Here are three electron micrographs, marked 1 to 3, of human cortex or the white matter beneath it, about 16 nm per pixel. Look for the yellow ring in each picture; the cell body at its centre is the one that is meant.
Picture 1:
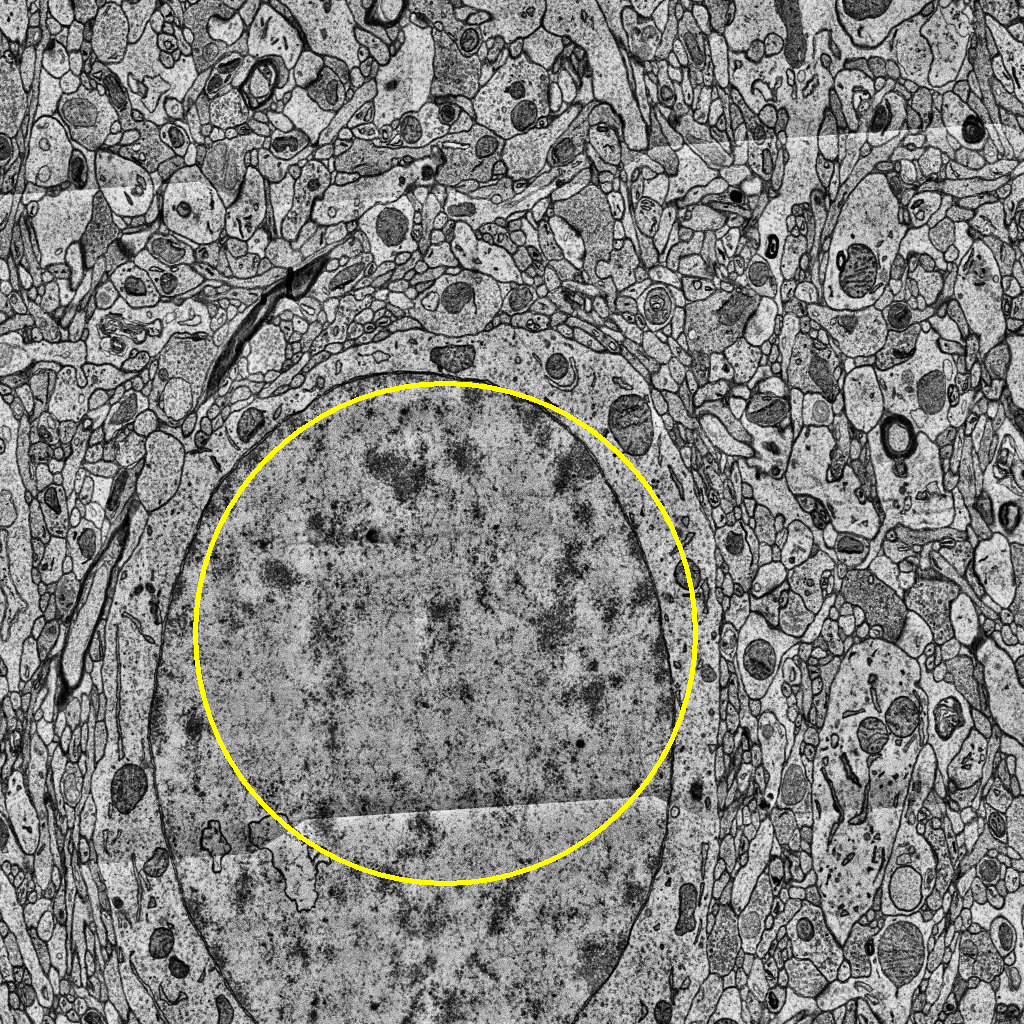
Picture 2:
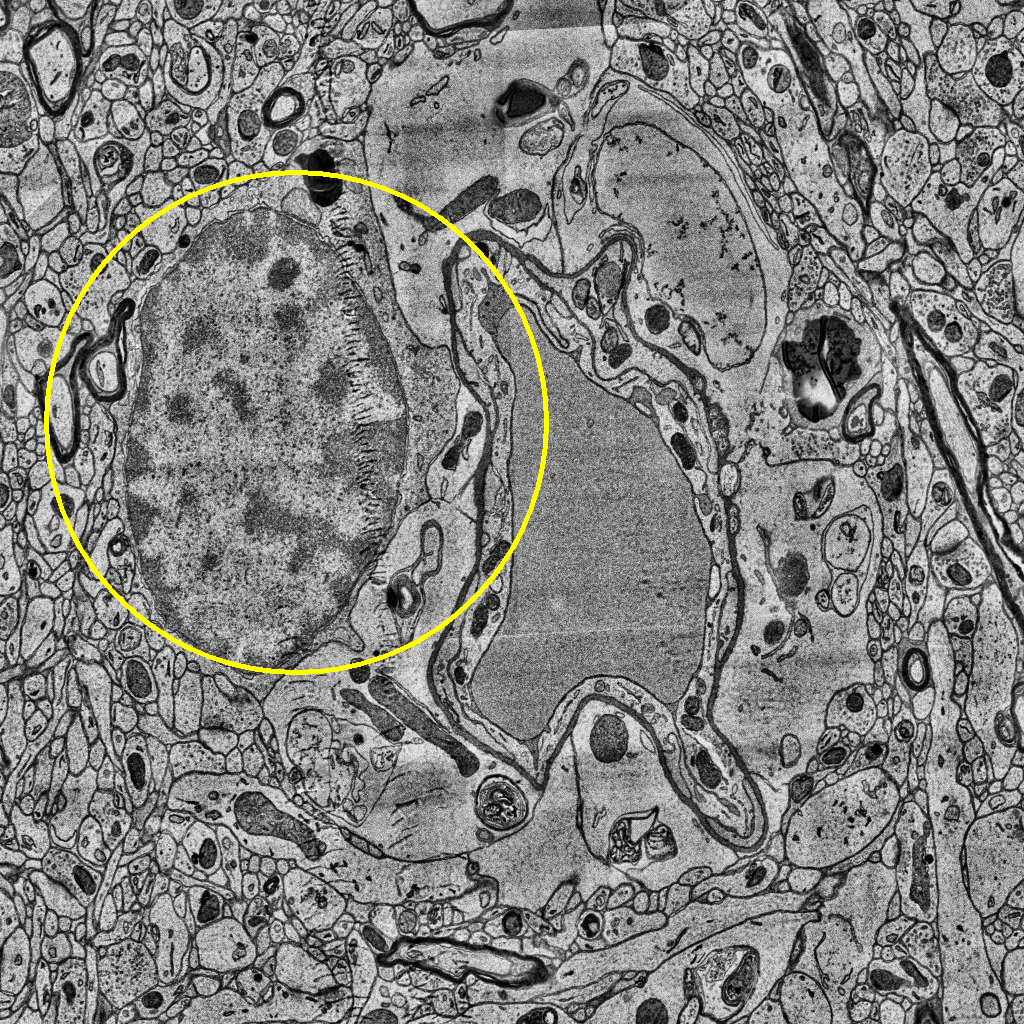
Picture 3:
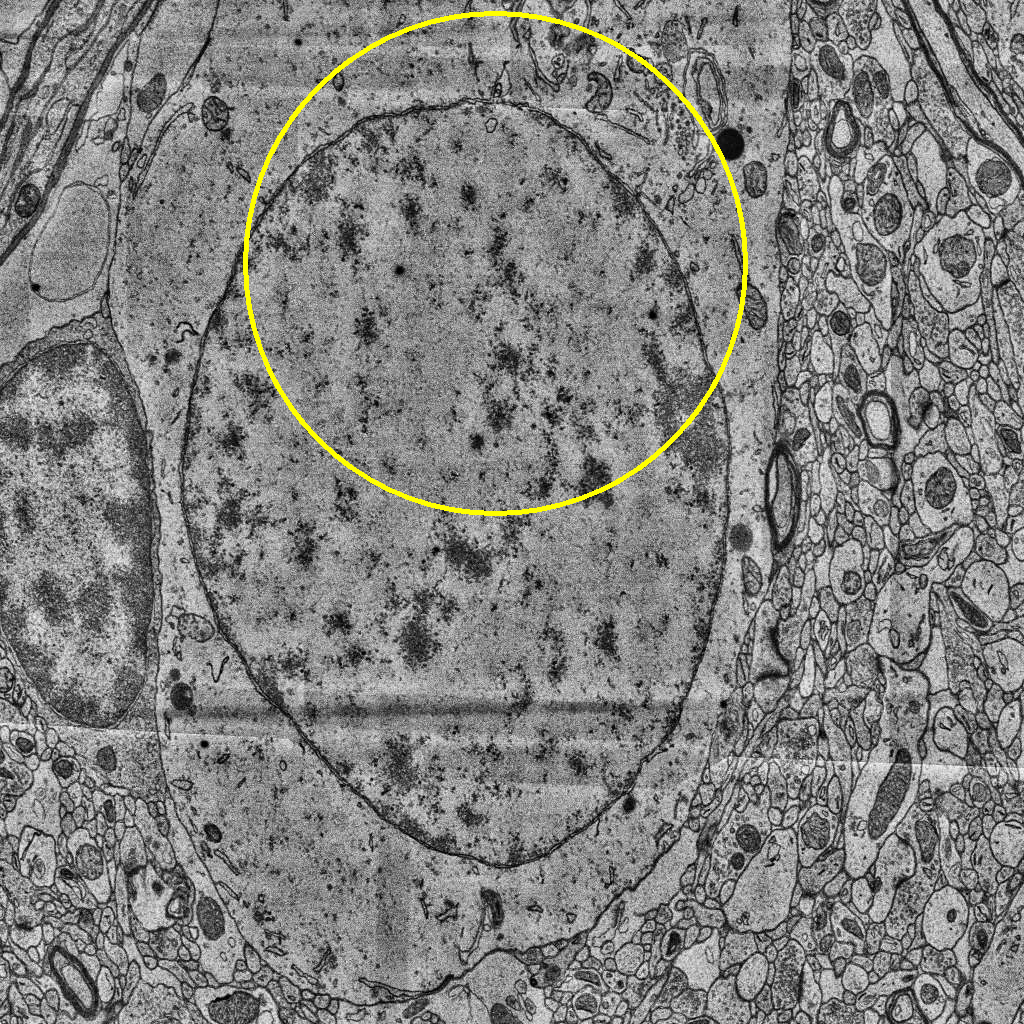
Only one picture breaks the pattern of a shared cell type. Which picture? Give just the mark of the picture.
2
